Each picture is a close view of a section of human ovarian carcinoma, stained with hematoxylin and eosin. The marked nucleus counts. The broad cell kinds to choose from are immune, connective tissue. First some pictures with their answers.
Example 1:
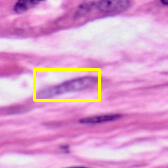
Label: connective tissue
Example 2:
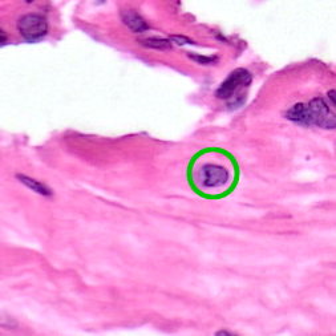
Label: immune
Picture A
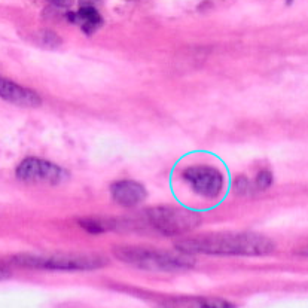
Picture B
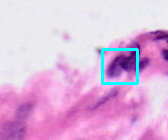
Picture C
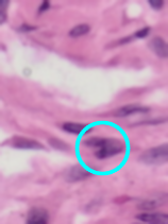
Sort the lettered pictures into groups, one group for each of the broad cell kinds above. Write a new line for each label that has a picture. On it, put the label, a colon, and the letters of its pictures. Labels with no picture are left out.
immune: A, B
connective tissue: C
